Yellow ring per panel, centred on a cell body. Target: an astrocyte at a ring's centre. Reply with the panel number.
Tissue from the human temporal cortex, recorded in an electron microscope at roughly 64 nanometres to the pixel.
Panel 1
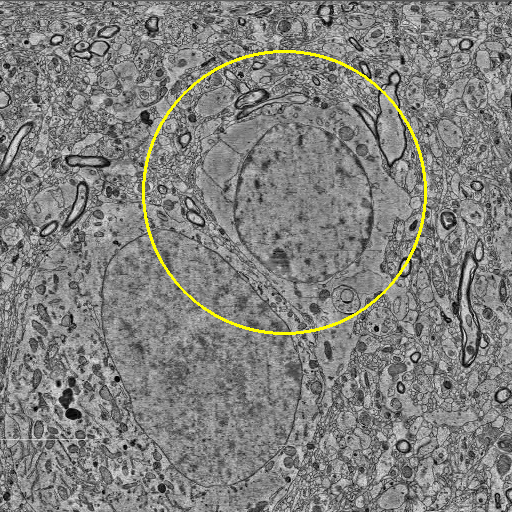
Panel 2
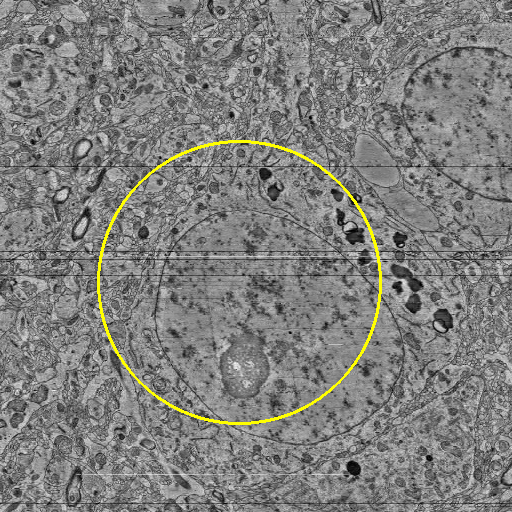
1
